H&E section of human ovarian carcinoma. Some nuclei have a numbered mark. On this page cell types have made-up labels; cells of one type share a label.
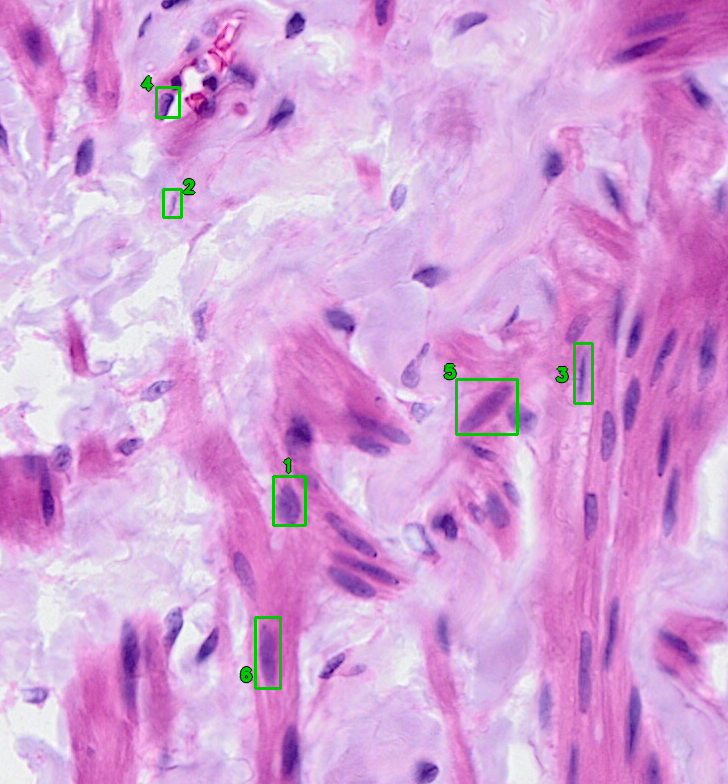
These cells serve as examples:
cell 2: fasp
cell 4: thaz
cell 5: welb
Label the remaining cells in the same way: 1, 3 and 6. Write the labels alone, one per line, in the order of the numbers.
welb
welb
welb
